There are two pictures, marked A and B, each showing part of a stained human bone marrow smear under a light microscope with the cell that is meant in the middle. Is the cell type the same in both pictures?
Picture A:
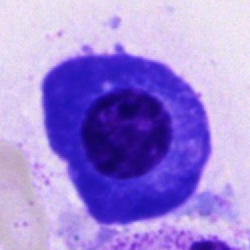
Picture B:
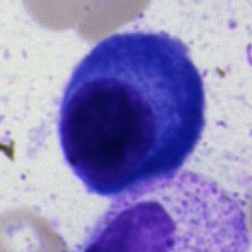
yes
